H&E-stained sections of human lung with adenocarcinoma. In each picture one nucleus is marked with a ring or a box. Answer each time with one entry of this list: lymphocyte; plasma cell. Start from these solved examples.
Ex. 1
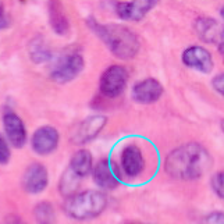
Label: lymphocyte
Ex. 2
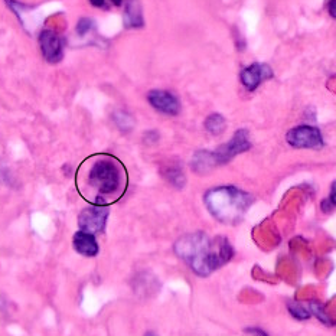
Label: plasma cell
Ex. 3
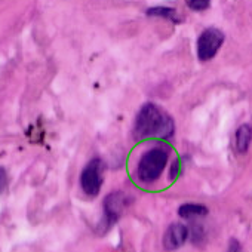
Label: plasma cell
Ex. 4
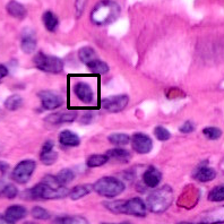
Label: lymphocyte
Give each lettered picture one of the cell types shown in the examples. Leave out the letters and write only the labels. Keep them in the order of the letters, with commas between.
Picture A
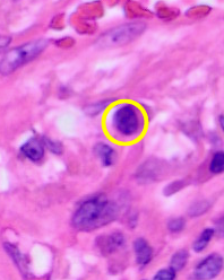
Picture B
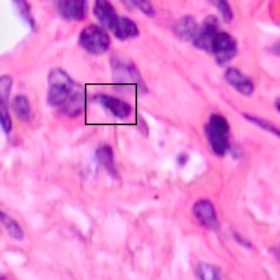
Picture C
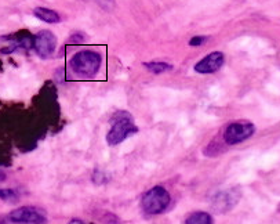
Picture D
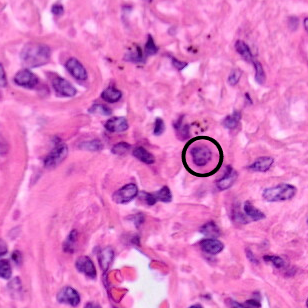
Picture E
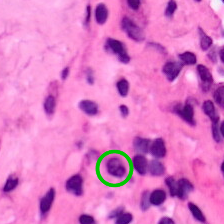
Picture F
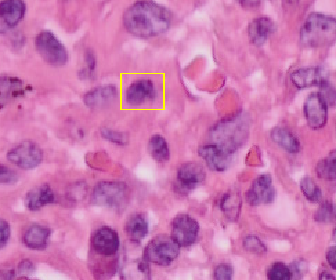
plasma cell, plasma cell, plasma cell, plasma cell, plasma cell, lymphocyte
